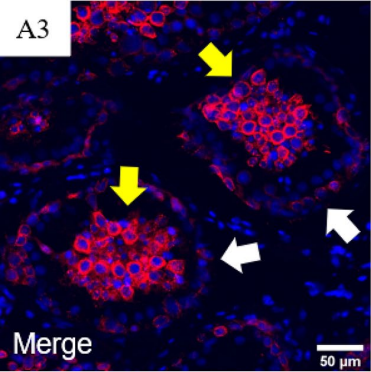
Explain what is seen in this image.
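The centres of two tubules are filled with clusters of large round cells whose cytoplasm is strongly red around round blue nuclei, while the tubule rims carry a thin layer of cells with smaller blue nuclei and only faint red. Between the tubules lies interstitial tissue with scattered blue nuclei.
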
